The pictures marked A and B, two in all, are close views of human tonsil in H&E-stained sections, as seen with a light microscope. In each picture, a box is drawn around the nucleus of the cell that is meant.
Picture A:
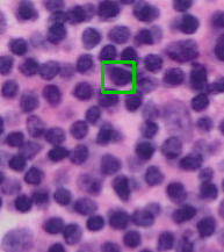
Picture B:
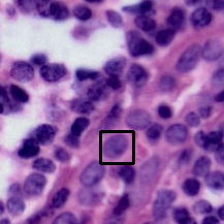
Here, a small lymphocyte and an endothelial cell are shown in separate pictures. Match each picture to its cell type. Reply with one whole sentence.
The cell in picture A is a small lymphocyte, and the one in picture B is an endothelial cell.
